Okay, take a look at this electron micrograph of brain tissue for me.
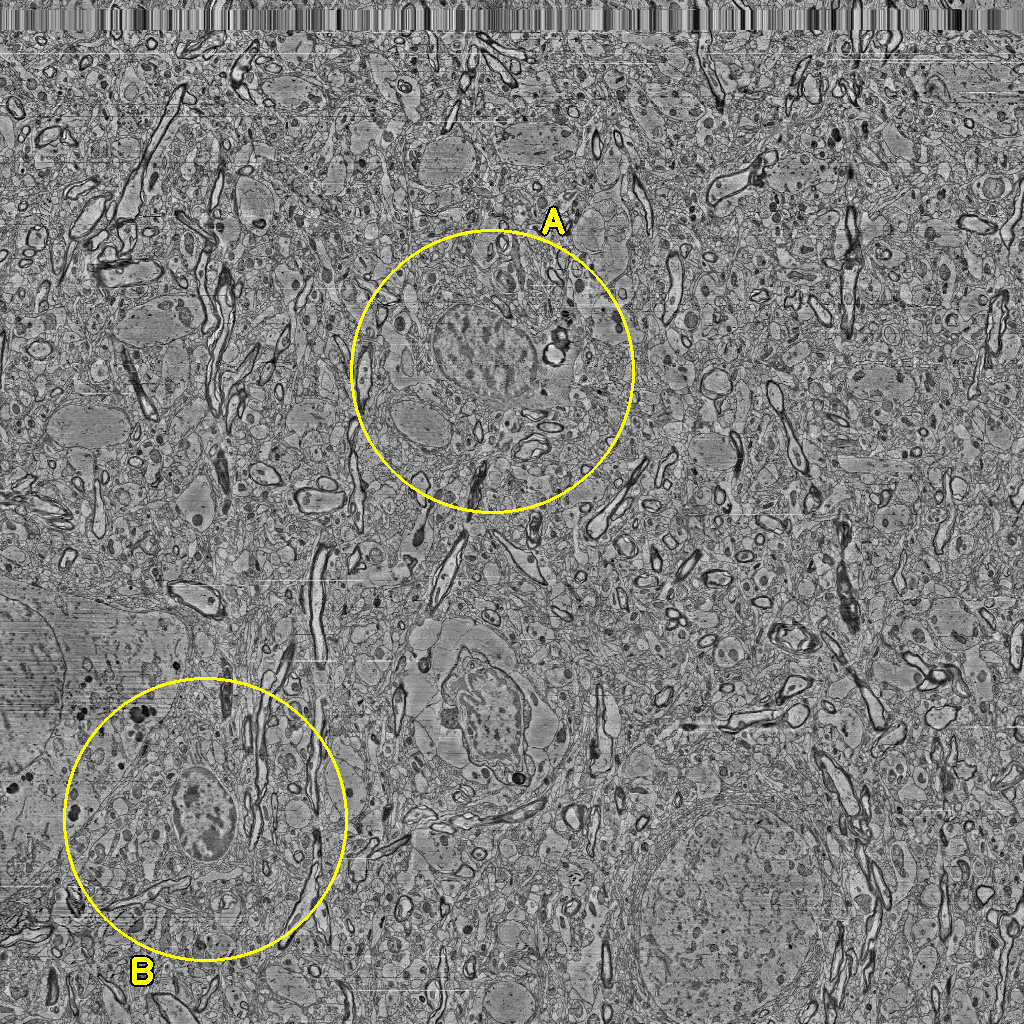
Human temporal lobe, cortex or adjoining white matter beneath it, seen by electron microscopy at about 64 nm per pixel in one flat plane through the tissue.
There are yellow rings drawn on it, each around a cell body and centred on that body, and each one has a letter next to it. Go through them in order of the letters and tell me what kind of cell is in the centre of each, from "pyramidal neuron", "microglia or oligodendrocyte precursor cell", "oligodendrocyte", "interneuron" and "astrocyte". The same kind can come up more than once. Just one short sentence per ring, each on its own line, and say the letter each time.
In the centre of ring A there's an oligodendrocyte.
In the centre of ring B there's a microglial cell or oligodendrocyte precursor cell.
